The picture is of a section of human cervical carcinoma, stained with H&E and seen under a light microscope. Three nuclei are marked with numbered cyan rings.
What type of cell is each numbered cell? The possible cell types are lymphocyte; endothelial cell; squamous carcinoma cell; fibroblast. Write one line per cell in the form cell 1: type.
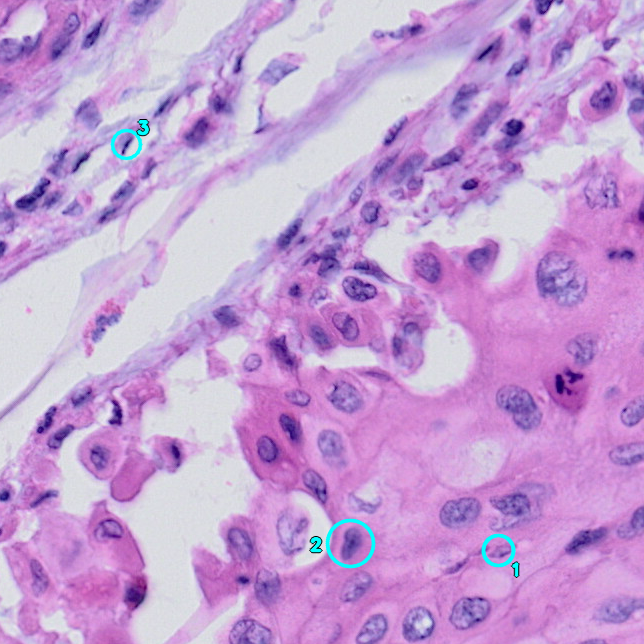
cell 1: squamous carcinoma cell
cell 2: squamous carcinoma cell
cell 3: fibroblast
